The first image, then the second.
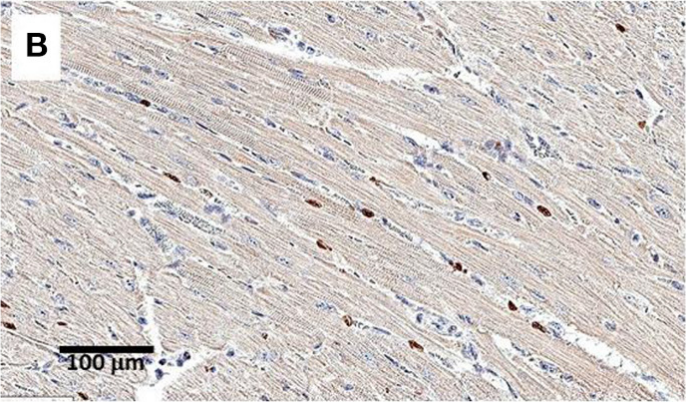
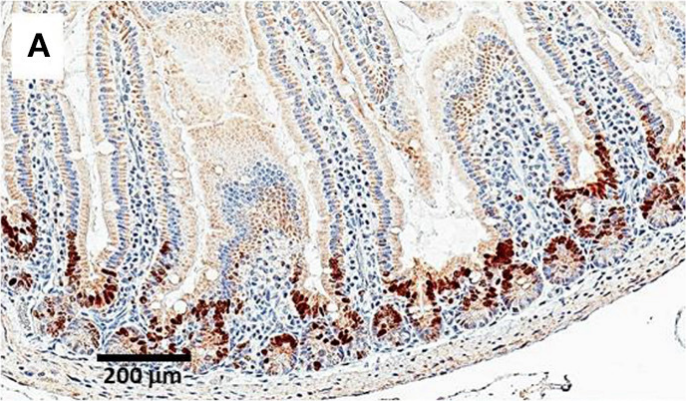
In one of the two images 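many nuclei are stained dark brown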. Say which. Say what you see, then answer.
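The second image. First image: only scattered single brown nuclei among many blue ones. Second image: dense clusters of dark brown nuclei at the bases of the projections.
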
